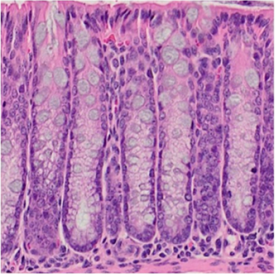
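The crypts run parallel from a pink surface epithelium at the top to a thin connective tissue layer at the bottom. Along the crypt walls sit many pale, clear, rounded goblet cells whose mucus stains poorly, interspersed with cells bearing dark purple oval nuclei. The lamina propria between crypts holds scattered small dark nuclei. The crypt lumens are narrow and the overall arrangement of glands is regular.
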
